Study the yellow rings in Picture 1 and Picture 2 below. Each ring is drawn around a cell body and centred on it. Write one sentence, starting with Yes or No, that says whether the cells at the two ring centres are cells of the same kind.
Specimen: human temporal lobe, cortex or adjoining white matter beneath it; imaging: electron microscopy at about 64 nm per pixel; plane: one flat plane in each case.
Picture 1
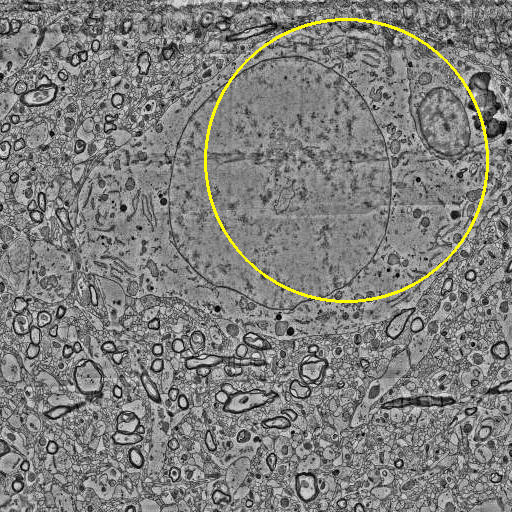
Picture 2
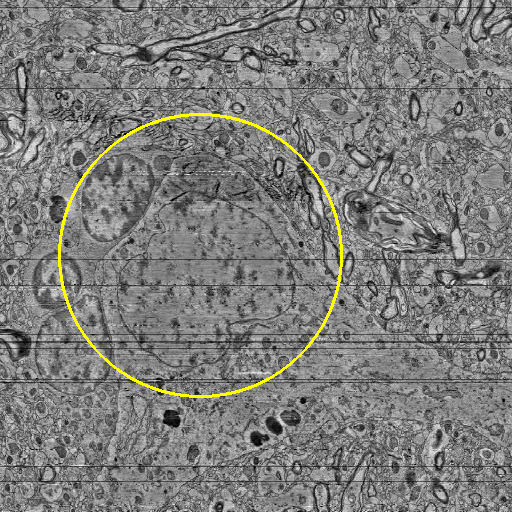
Yes, the cells at both ring centres are of the same kind.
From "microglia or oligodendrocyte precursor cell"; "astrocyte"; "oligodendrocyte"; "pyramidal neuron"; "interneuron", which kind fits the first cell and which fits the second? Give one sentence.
In each picture the ringed cell is a pyramidal neuron.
